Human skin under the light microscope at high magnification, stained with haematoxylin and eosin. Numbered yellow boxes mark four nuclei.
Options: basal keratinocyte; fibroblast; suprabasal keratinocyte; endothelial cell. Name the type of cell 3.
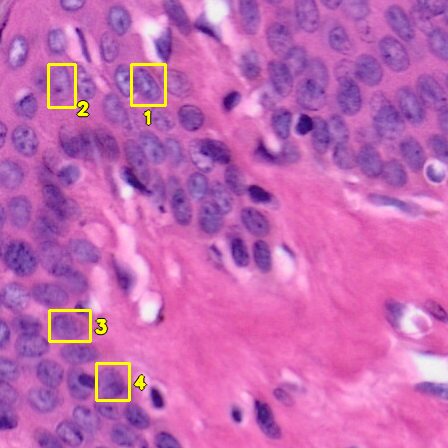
basal keratinocyte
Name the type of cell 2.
suprabasal keratinocyte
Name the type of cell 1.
suprabasal keratinocyte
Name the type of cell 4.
basal keratinocyte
